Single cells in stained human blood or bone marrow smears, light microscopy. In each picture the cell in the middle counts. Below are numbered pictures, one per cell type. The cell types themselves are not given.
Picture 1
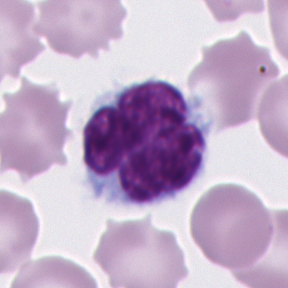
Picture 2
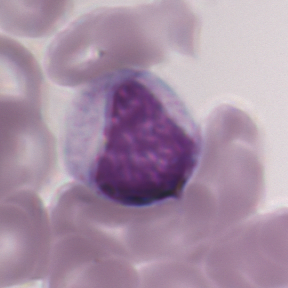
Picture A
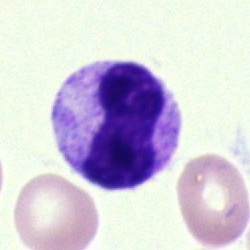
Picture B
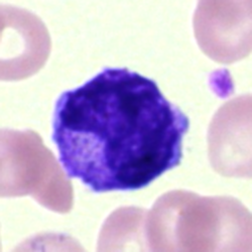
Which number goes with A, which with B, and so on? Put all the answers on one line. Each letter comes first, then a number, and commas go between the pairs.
A 2, B 2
